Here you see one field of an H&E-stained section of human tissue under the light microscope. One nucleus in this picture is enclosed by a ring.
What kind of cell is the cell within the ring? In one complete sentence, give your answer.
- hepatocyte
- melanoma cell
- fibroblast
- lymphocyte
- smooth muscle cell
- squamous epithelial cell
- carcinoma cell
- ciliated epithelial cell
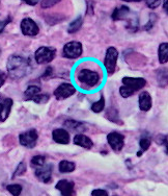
In the tissue under study, the cell within the ring is a lymphocyte.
